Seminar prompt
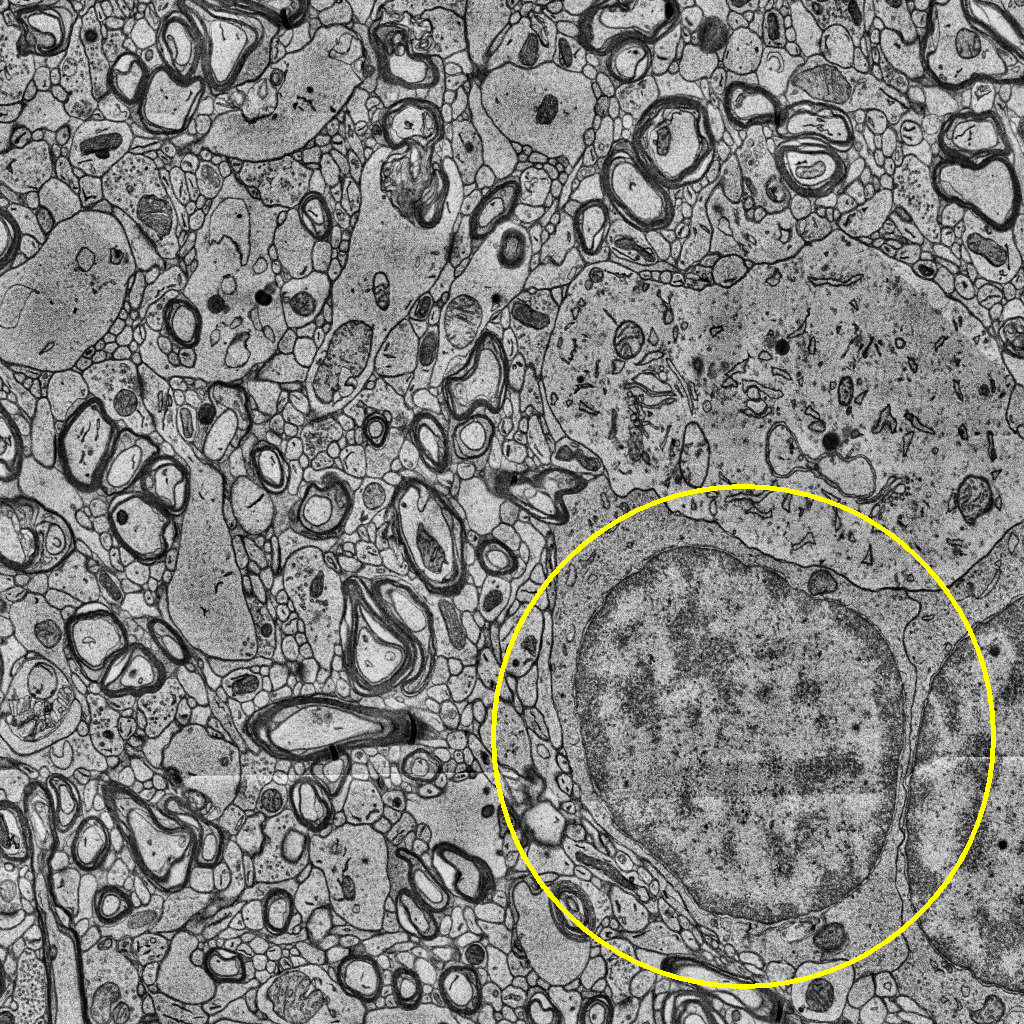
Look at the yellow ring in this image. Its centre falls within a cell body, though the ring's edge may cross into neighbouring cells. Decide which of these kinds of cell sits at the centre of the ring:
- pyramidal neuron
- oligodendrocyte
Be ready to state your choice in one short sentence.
The kind of cell at the ring's centre is an oligodendrocyte.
